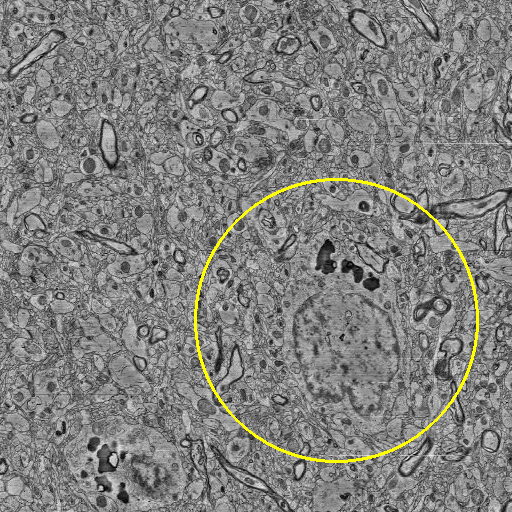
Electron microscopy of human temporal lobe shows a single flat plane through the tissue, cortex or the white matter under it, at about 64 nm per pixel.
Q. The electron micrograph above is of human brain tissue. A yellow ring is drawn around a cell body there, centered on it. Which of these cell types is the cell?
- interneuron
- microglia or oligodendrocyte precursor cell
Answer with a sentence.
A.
The cell under the ring's center is an interneuron.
